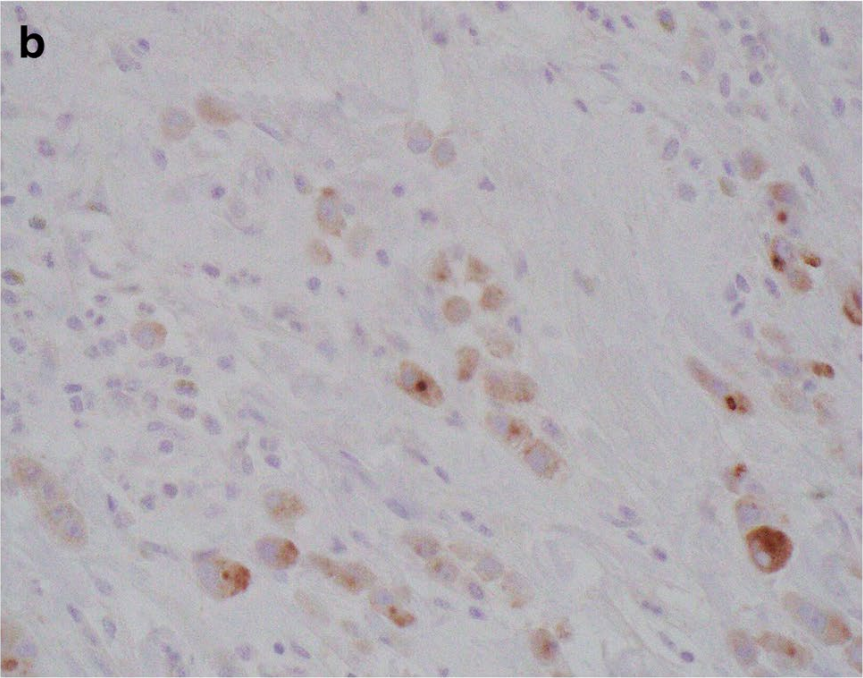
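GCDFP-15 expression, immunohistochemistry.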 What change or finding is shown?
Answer: Invasive lobular carcinoma.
